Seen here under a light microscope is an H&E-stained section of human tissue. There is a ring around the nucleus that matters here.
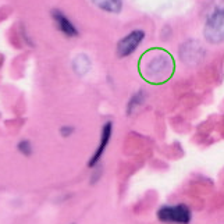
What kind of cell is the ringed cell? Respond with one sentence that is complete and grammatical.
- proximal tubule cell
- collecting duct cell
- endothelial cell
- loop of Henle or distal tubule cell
In terms of identity, the ringed cell is a collecting duct cell.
